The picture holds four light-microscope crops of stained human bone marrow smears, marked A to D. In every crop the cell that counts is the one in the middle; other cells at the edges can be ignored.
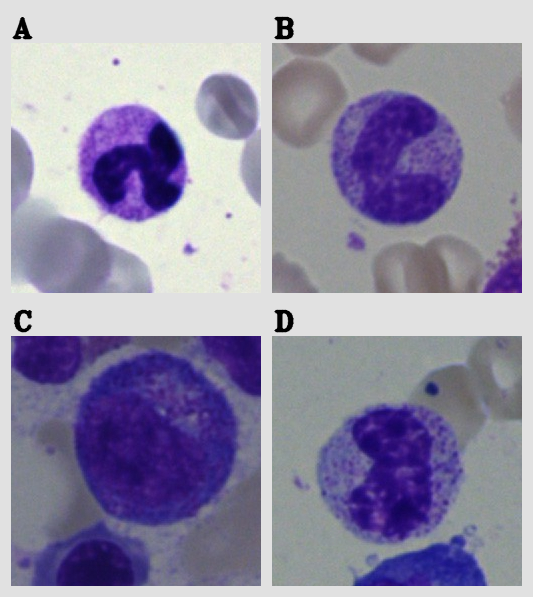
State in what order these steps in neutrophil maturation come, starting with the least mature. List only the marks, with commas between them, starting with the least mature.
C, D, B, A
